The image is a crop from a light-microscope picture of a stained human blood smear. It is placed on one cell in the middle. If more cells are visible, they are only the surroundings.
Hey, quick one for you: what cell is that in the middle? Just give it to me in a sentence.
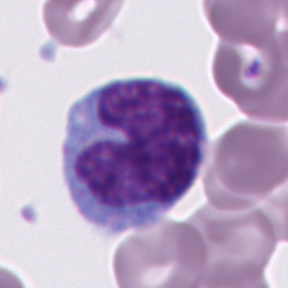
The centered cell in this crop is a monocyte.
